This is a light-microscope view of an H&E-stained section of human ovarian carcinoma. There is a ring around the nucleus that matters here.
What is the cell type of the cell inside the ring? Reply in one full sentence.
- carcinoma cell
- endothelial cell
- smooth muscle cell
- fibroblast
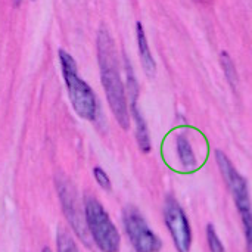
The cell type represented by the cell inside the ring is that of a smooth muscle cell.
